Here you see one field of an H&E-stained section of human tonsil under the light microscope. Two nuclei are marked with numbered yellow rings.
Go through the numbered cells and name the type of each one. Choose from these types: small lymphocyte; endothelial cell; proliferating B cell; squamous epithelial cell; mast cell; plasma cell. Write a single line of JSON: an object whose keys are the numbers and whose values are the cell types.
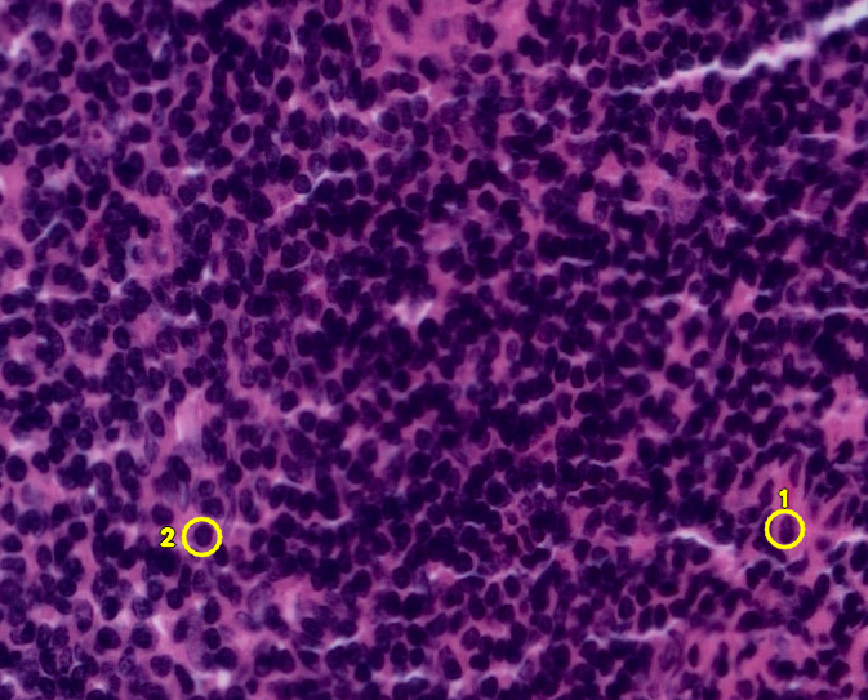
{"1": "endothelial cell", "2": "small lymphocyte"}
